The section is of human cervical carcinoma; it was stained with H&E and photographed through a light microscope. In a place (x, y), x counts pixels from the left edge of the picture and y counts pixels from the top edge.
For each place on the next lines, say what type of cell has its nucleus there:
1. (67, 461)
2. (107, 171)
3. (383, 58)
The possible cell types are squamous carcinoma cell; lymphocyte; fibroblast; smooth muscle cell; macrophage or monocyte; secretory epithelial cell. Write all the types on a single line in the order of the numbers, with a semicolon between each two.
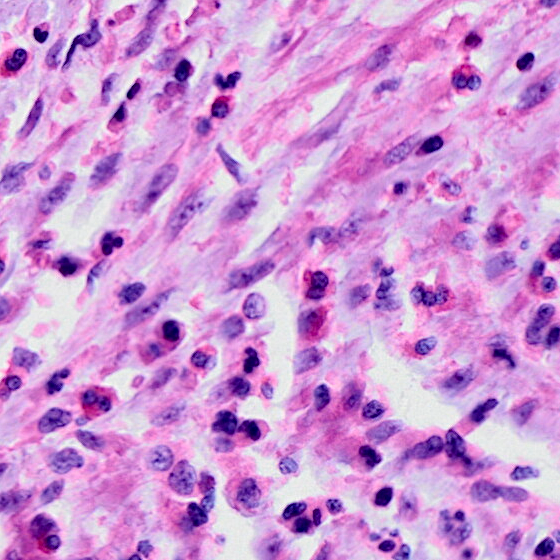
macrophage or monocyte; fibroblast; fibroblast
